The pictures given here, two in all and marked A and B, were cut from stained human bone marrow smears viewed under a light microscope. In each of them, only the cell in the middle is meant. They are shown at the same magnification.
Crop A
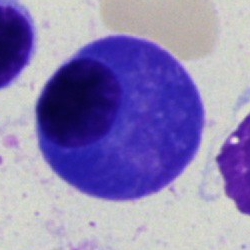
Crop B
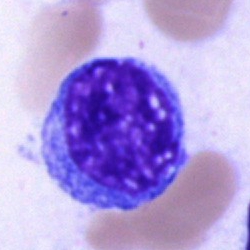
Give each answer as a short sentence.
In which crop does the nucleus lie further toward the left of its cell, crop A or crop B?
In crop A the nucleus is shifted more toward the left.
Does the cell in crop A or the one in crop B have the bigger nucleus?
Crop B shows the larger nucleus; it covers about 2 times the area of the nucleus in crop A.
